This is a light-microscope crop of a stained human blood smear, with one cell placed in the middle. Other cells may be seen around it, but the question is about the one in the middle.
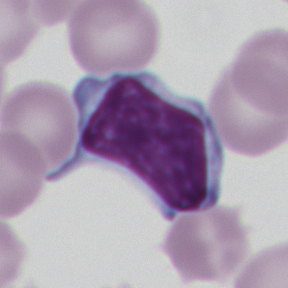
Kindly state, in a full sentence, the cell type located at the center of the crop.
The cell around which this crop is centred is a typical lymphocyte.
